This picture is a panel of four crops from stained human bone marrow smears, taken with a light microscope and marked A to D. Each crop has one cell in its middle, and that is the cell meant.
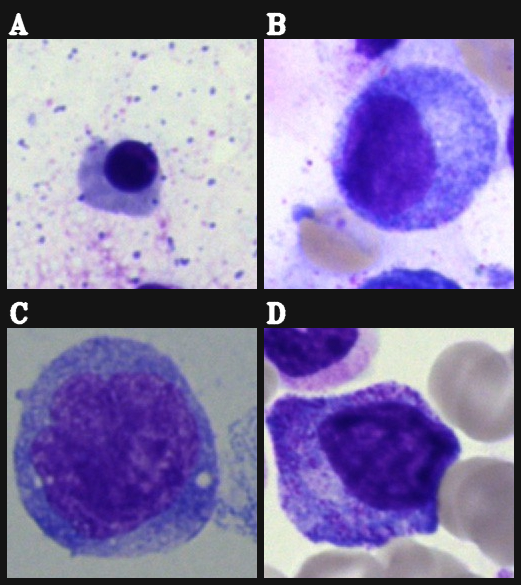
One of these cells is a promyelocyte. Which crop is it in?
B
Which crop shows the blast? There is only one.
C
